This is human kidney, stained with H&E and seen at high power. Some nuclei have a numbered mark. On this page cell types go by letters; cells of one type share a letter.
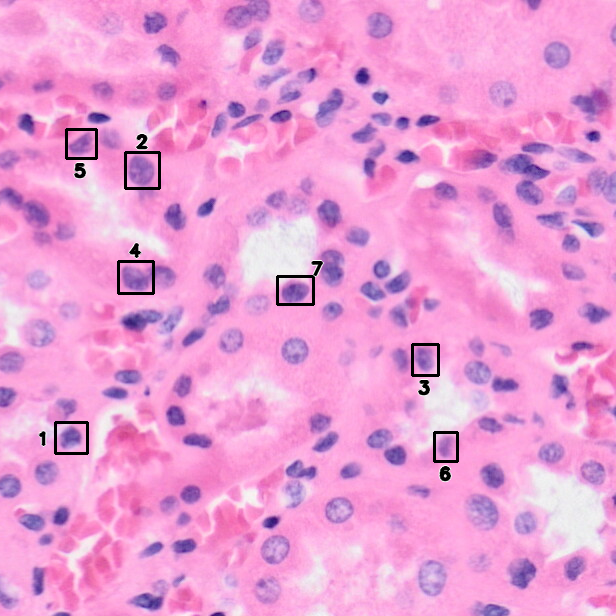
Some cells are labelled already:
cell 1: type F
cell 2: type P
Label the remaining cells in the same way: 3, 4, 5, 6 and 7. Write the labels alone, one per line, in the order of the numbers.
type F
type P
type P
type F
type F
